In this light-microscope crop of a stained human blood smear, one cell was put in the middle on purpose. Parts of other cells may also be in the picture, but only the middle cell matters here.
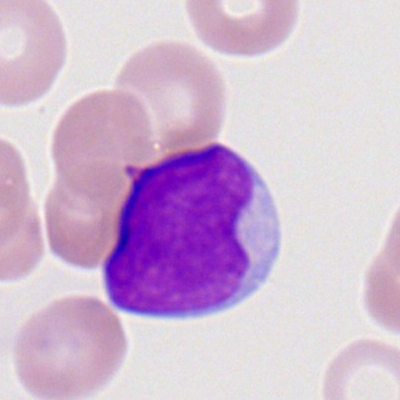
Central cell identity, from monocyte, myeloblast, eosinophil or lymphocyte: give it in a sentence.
The cell at the middle of the crop is recognized as a myeloblast.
